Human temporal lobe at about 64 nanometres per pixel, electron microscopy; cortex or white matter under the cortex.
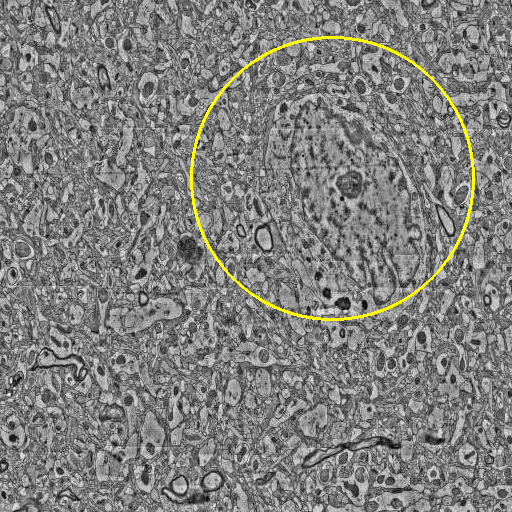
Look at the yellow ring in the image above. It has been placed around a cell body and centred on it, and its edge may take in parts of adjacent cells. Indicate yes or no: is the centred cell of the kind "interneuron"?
yes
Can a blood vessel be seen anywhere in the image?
No.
